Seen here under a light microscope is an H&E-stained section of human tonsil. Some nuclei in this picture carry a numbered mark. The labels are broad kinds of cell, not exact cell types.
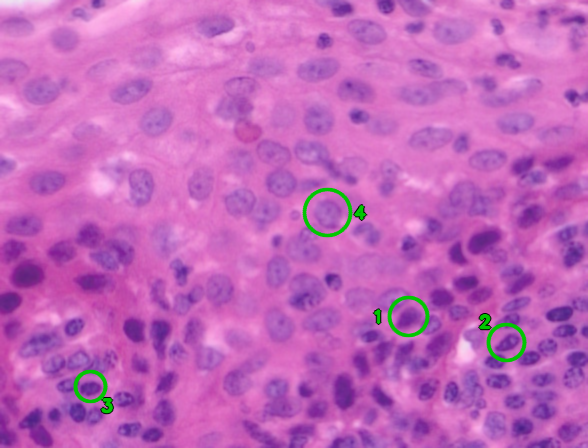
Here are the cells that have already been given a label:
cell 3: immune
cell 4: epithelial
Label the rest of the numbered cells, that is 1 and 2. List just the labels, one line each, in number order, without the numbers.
epithelial
immune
